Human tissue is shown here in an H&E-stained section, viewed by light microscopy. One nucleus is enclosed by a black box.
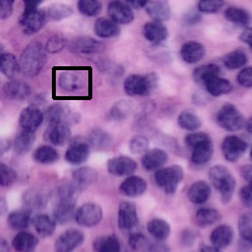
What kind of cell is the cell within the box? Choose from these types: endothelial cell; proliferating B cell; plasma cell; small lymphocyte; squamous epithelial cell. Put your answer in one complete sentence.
To be brief about it, the cell within the box is an endothelial cell.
